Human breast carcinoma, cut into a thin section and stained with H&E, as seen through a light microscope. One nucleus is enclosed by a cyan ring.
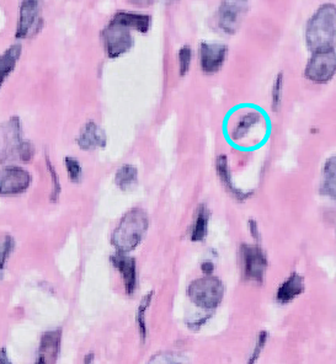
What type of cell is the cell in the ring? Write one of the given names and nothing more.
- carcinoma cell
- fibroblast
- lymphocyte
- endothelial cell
endothelial cell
